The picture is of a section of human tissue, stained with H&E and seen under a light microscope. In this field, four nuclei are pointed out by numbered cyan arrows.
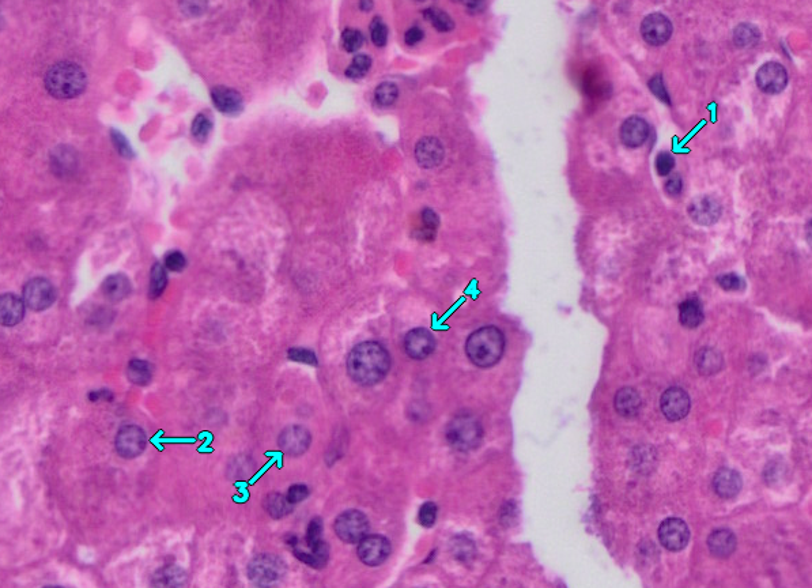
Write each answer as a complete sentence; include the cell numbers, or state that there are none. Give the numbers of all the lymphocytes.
Of all the cells bearing numbers, cell 1 is the only one that is a lymphocyte.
